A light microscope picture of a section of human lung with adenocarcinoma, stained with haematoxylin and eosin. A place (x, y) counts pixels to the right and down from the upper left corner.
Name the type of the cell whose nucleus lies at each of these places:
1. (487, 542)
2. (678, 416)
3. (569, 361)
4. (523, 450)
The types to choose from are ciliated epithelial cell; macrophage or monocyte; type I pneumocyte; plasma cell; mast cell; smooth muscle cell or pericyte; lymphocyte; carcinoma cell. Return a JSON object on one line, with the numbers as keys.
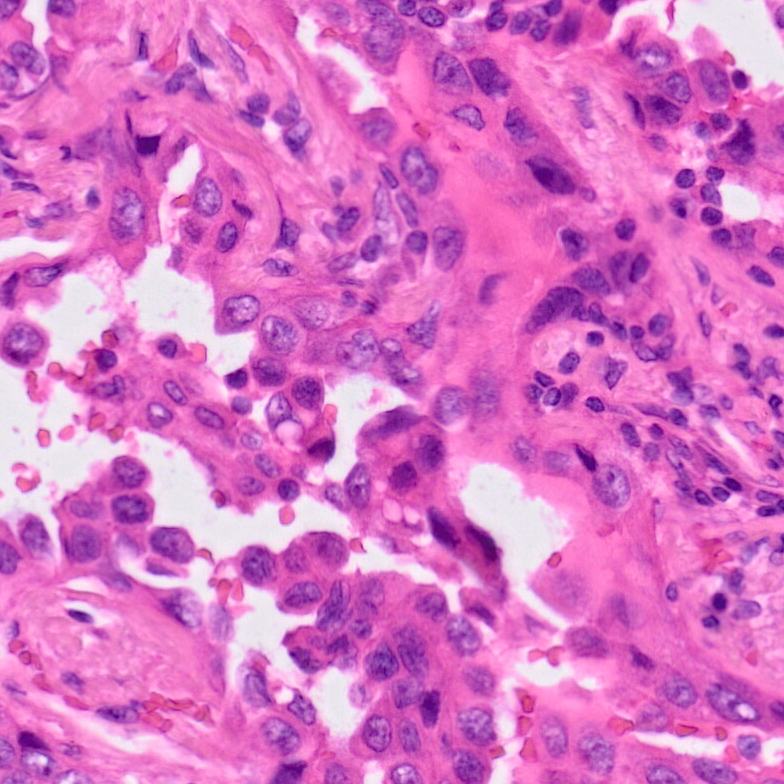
{"1": "carcinoma cell", "2": "lymphocyte", "3": "lymphocyte", "4": "carcinoma cell"}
